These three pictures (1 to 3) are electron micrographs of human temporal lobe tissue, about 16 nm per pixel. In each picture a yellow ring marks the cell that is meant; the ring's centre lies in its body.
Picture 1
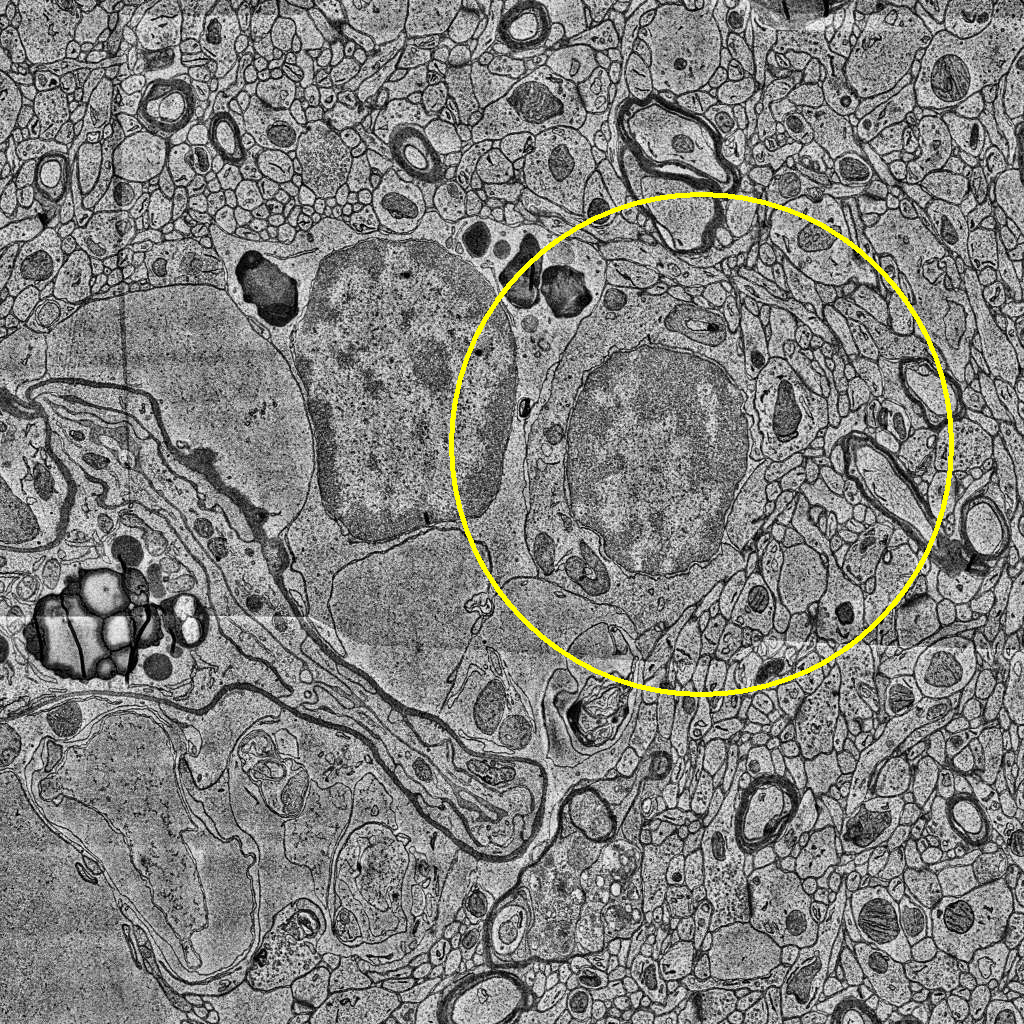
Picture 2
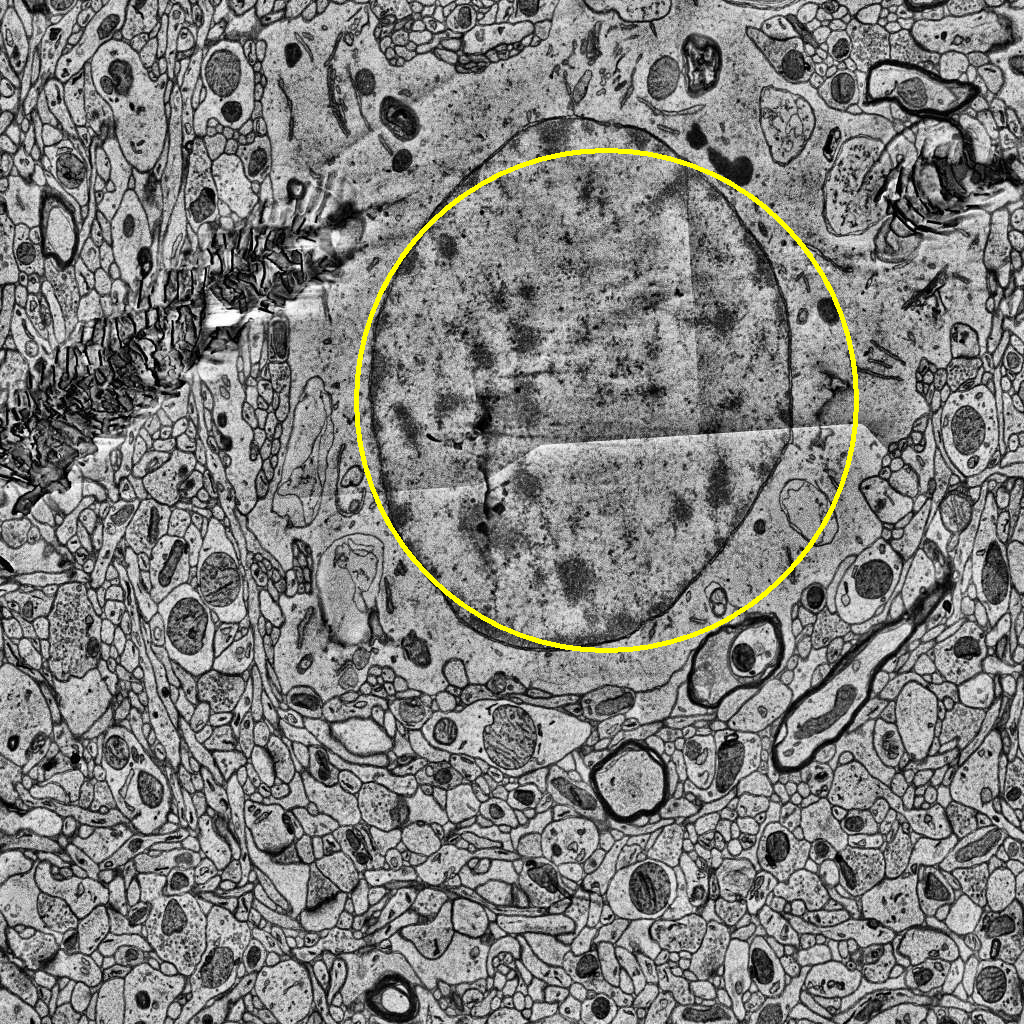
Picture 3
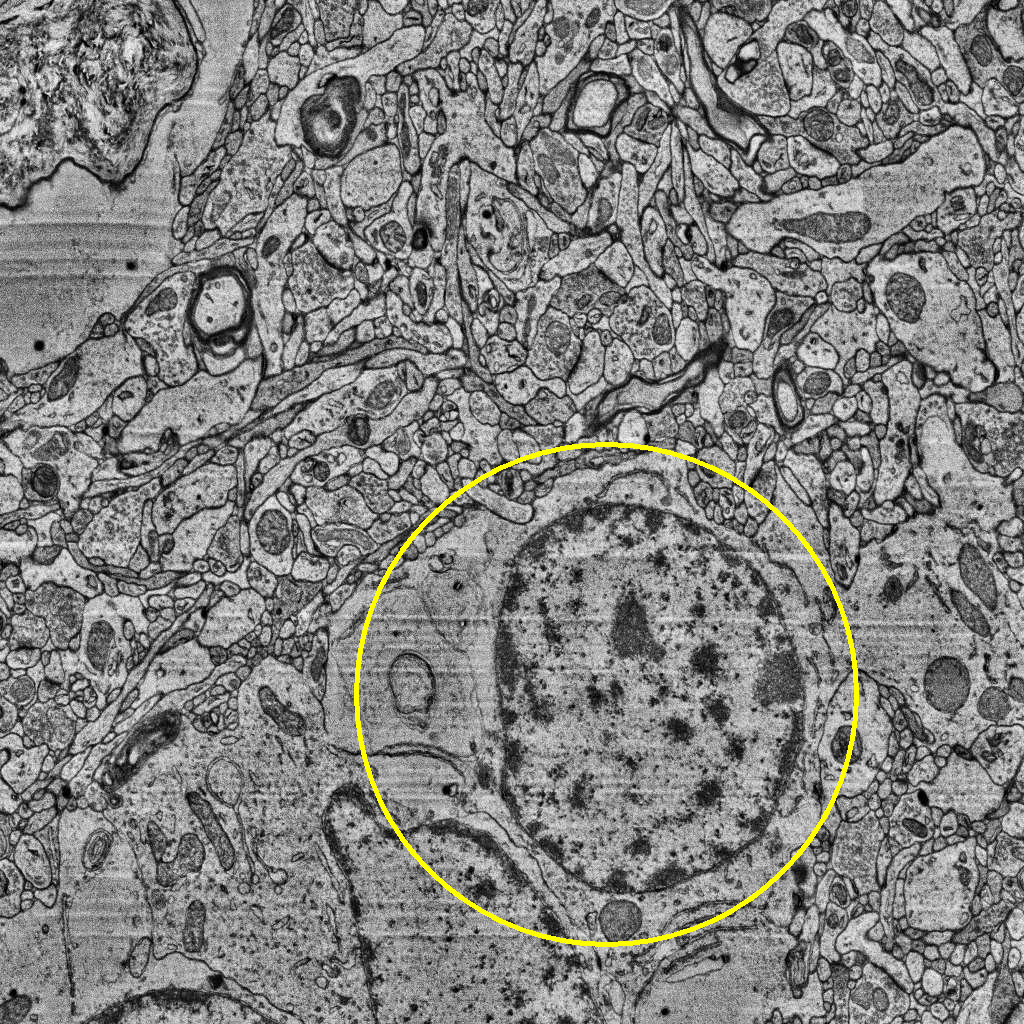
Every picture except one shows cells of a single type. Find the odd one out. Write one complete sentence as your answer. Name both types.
Unlike the rest, which show astrocytes, picture 1 shows an oligodendrocyte.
